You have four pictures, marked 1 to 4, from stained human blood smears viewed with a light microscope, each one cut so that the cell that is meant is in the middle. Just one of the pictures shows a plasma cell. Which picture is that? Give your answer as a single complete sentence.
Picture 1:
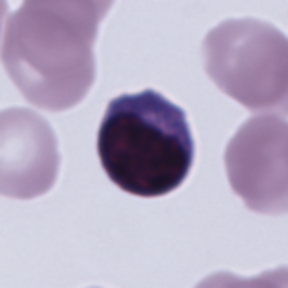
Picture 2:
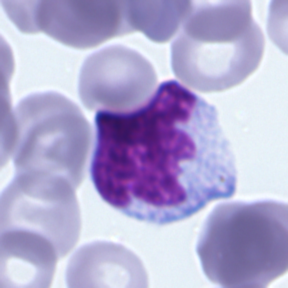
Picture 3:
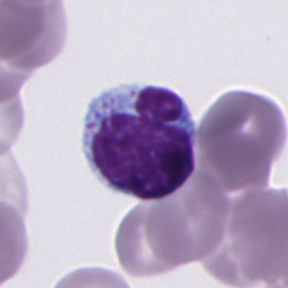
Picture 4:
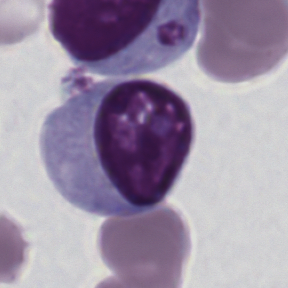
It is picture 4 that shows the plasma cell.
